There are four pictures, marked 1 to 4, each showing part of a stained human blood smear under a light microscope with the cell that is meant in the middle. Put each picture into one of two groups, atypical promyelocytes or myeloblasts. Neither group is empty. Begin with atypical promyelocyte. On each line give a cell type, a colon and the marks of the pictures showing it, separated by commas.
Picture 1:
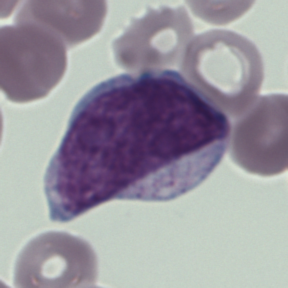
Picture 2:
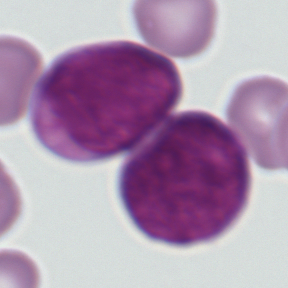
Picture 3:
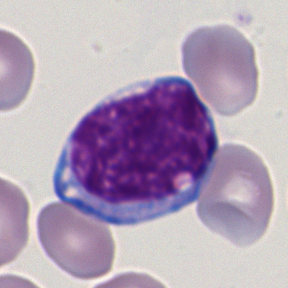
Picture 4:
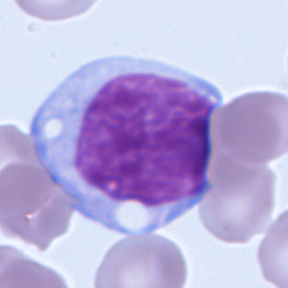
atypical promyelocyte: 1
myeloblast: 2, 3, 4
